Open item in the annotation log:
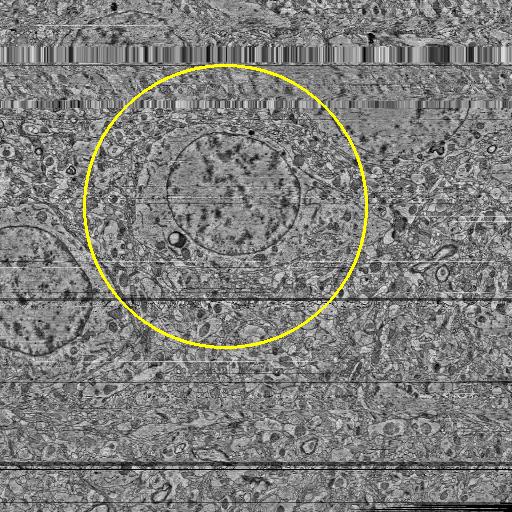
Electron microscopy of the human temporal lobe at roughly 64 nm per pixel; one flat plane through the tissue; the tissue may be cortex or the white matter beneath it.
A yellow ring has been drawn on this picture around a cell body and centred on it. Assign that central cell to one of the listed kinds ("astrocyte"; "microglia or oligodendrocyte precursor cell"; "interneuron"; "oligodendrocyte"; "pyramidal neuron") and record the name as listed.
pyramidal neuron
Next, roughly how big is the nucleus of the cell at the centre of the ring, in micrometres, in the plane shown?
The nucleus measures about 8 micrometers across in this plane.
